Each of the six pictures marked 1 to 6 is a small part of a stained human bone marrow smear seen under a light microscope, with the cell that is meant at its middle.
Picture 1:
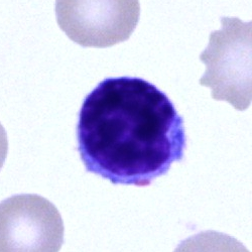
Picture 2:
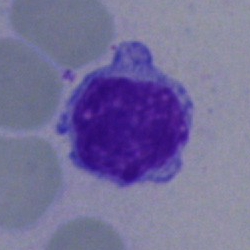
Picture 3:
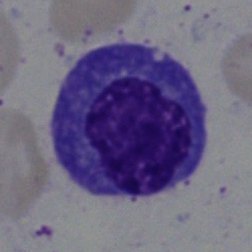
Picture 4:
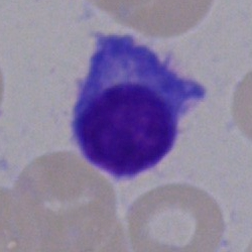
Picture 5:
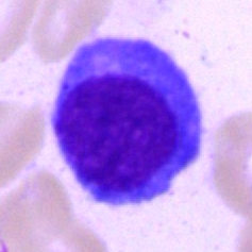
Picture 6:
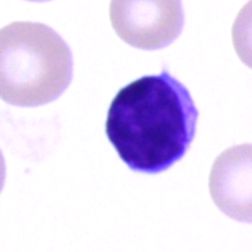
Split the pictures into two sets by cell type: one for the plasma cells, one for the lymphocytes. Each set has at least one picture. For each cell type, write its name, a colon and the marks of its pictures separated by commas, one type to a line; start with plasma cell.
plasma cell: 3, 4, 5
lymphocyte: 1, 2, 6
